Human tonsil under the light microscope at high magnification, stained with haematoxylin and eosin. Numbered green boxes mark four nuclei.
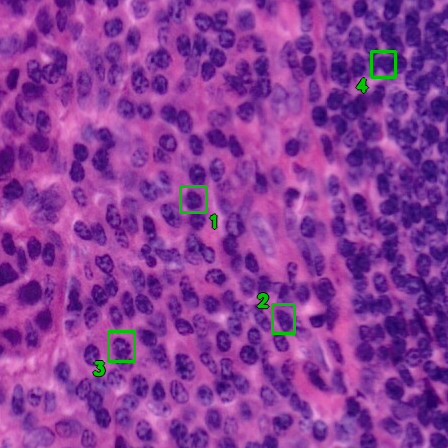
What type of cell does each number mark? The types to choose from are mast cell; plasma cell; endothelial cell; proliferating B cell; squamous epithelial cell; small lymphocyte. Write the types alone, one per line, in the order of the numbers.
plasma cell
plasma cell
plasma cell
small lymphocyte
